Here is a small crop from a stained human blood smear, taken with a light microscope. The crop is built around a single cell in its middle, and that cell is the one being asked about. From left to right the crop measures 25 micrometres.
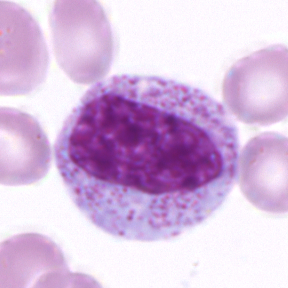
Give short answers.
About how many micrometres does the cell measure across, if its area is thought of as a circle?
15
